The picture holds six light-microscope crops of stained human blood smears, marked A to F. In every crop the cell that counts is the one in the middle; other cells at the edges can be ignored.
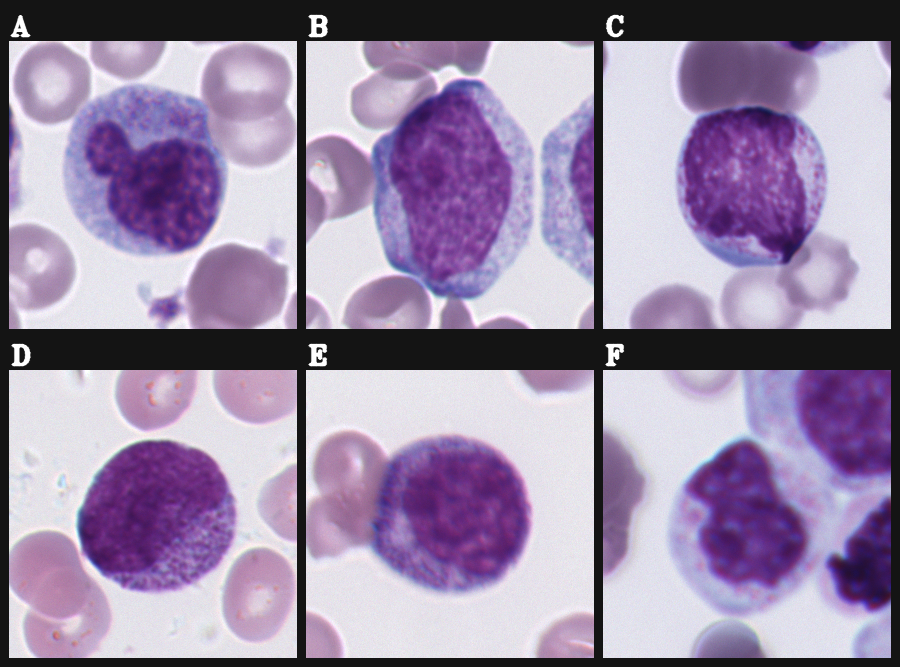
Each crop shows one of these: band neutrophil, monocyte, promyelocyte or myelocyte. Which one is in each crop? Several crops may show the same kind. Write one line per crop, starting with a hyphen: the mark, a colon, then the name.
- A: monocyte
- B: promyelocyte
- C: myelocyte
- D: myelocyte
- E: myelocyte
- F: band neutrophil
